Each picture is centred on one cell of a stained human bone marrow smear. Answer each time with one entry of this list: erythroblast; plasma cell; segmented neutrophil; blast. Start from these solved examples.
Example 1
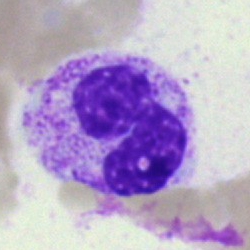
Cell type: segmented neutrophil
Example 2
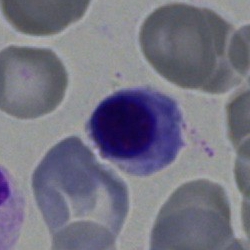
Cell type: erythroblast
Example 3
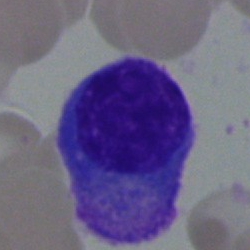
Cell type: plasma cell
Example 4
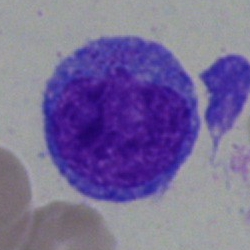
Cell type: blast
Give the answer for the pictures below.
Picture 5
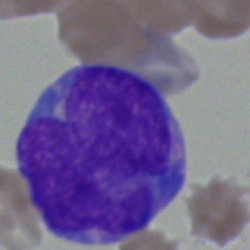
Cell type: blast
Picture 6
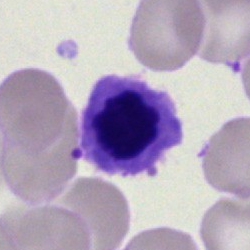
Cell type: erythroblast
